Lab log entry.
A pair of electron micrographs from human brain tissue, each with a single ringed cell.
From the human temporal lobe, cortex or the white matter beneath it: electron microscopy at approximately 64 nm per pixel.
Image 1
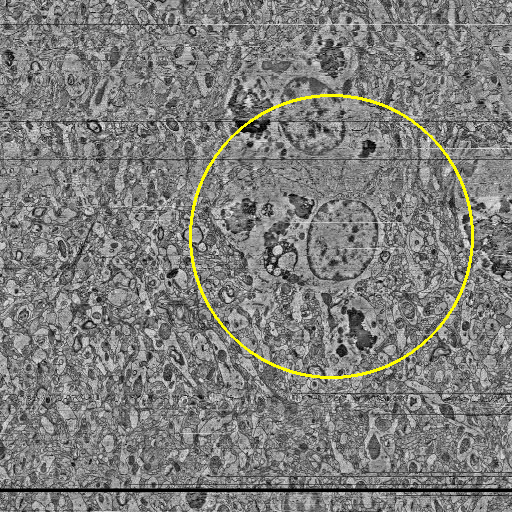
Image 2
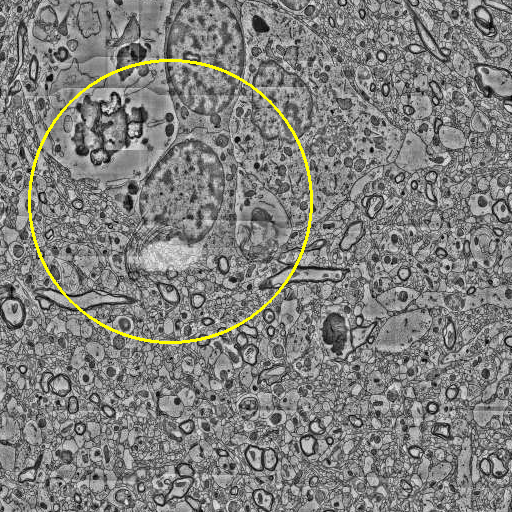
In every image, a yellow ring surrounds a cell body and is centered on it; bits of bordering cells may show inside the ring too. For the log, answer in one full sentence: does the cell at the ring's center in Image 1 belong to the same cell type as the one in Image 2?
No, the cells at the ring centers in Image 1 and Image 2 are of separate types.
